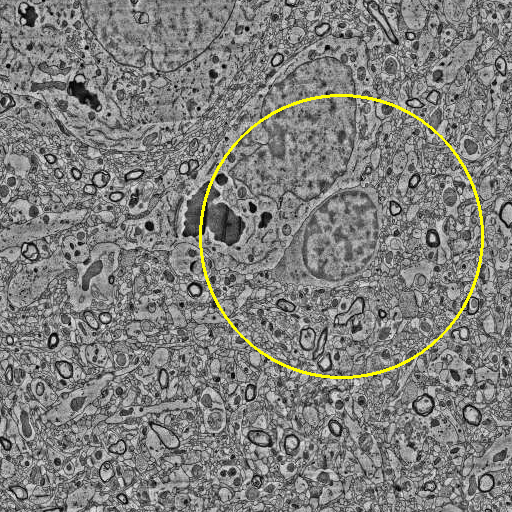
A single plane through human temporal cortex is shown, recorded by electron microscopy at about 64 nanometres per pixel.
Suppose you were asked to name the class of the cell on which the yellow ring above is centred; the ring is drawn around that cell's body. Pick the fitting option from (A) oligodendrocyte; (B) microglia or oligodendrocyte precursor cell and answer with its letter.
A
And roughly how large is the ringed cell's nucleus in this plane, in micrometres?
The nucleus comes to roughly 6 by 5 micrometres in this plane.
